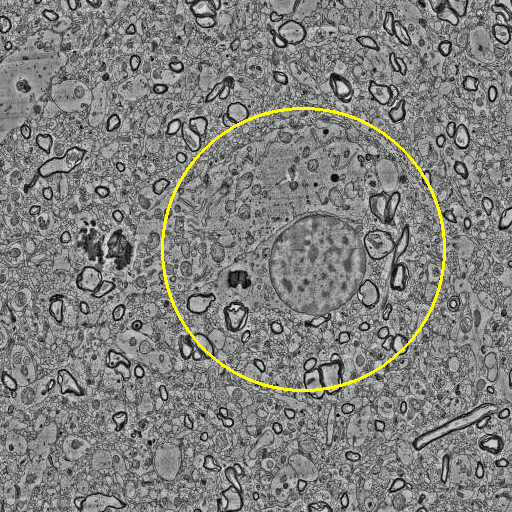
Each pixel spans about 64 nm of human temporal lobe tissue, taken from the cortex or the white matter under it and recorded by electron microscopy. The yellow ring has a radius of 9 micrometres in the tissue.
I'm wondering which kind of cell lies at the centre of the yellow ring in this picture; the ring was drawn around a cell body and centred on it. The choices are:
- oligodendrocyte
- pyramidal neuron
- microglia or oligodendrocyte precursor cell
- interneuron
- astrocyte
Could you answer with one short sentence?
At the centre of the ring lies an oligodendrocyte.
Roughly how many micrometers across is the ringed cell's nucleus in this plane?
About 6 micrometres across in this plane.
